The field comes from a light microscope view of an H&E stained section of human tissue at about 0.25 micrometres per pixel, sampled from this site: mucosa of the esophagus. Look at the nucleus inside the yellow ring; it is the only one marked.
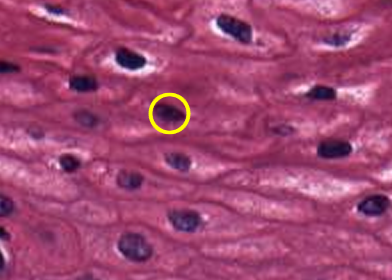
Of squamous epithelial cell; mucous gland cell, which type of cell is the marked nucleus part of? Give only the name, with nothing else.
squamous epithelial cell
